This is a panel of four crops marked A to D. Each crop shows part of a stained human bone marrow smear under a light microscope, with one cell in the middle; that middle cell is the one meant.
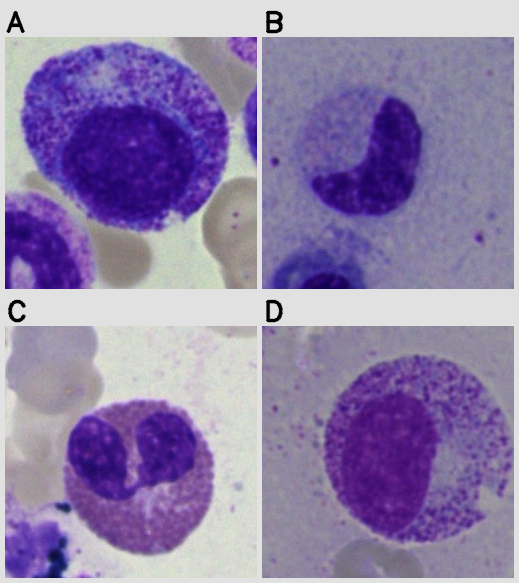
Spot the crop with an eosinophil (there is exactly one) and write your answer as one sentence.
Crop C, and no other, is the one that shows an eosinophil.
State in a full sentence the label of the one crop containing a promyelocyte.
The requested cell, a promyelocyte, is the one in crop A.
